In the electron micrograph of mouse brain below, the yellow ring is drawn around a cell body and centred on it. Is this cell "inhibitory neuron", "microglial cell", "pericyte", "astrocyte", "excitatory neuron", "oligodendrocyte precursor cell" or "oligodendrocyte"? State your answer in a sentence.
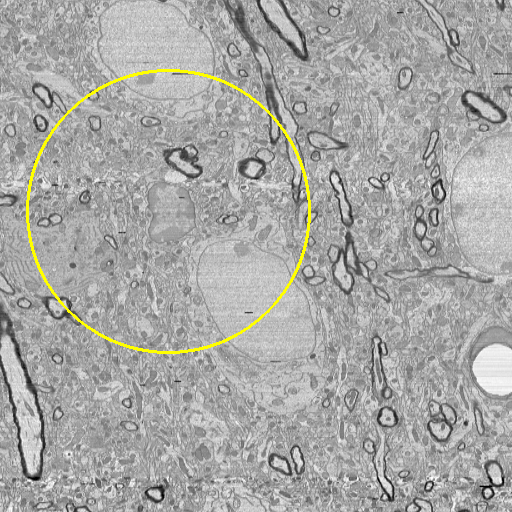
The cell in the middle of the ring is a microglial cell.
